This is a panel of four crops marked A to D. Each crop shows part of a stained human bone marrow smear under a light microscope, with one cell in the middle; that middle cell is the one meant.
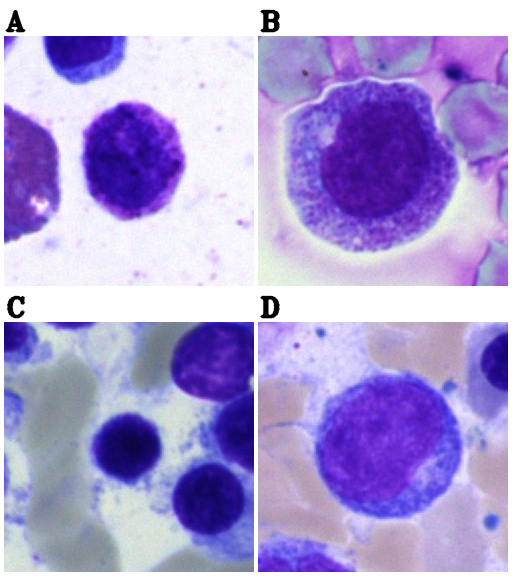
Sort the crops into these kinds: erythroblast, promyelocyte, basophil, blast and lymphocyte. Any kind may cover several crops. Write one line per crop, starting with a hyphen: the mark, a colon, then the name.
- A: basophil
- B: promyelocyte
- C: lymphocyte
- D: blast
